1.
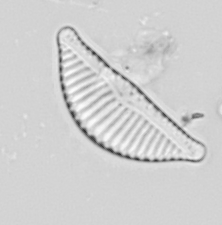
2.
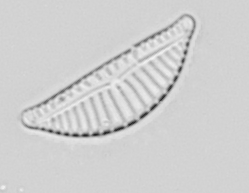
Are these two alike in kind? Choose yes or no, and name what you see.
Yes. Encyonema.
